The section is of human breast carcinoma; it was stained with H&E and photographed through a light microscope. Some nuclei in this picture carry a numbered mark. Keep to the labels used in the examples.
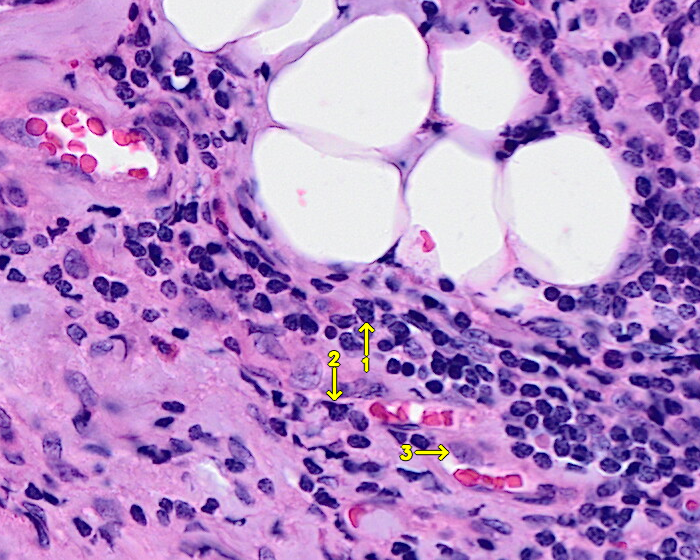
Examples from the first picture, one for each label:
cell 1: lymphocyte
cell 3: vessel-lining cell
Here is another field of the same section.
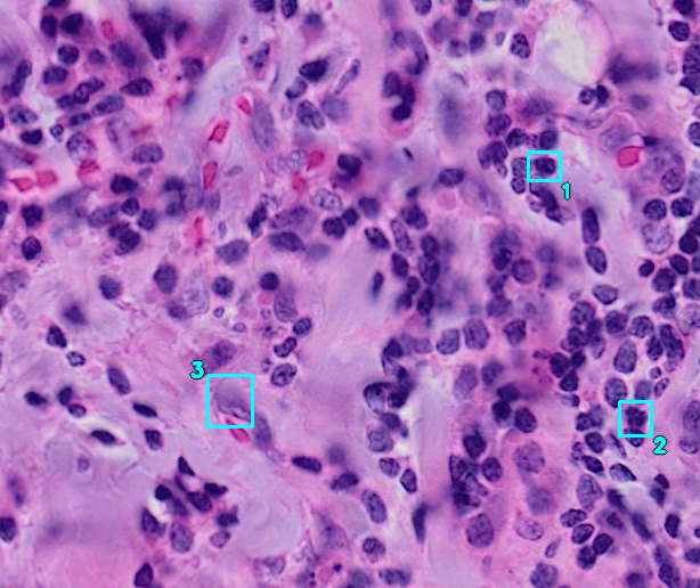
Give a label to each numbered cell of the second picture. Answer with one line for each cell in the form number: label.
1: lymphocyte
2: lymphocyte
3: vessel-lining cell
